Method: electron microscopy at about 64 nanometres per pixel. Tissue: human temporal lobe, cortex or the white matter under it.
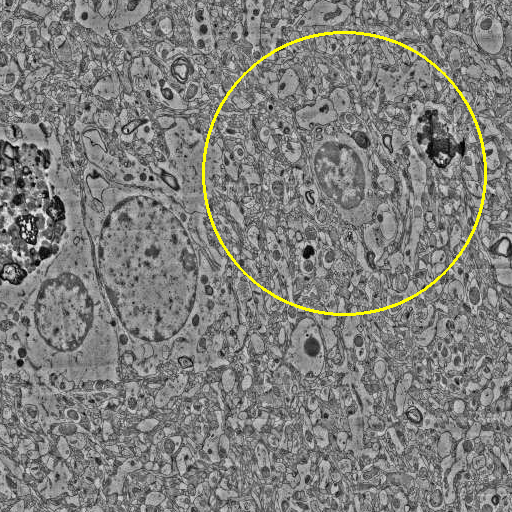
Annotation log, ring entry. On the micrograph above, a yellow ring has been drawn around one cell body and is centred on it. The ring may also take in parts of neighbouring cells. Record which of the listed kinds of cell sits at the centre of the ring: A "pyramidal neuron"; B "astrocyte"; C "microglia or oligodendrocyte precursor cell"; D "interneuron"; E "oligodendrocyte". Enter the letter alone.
E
